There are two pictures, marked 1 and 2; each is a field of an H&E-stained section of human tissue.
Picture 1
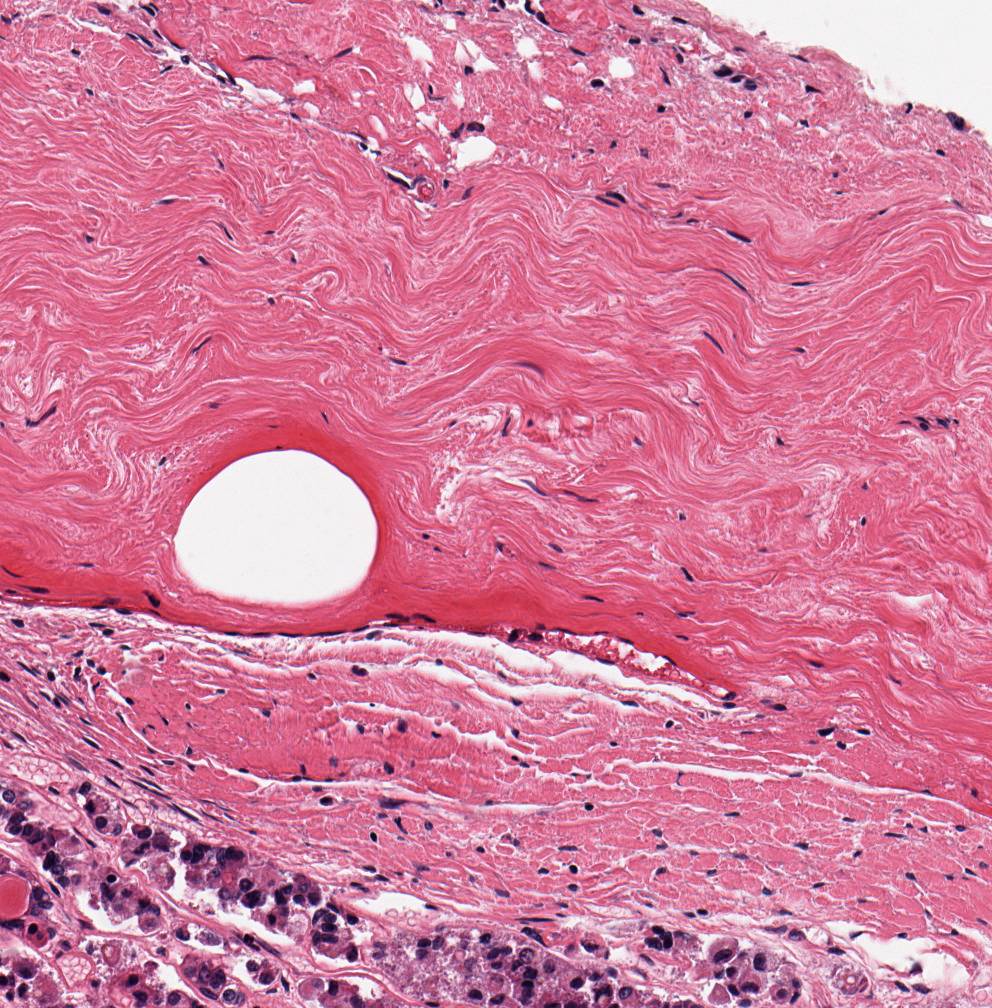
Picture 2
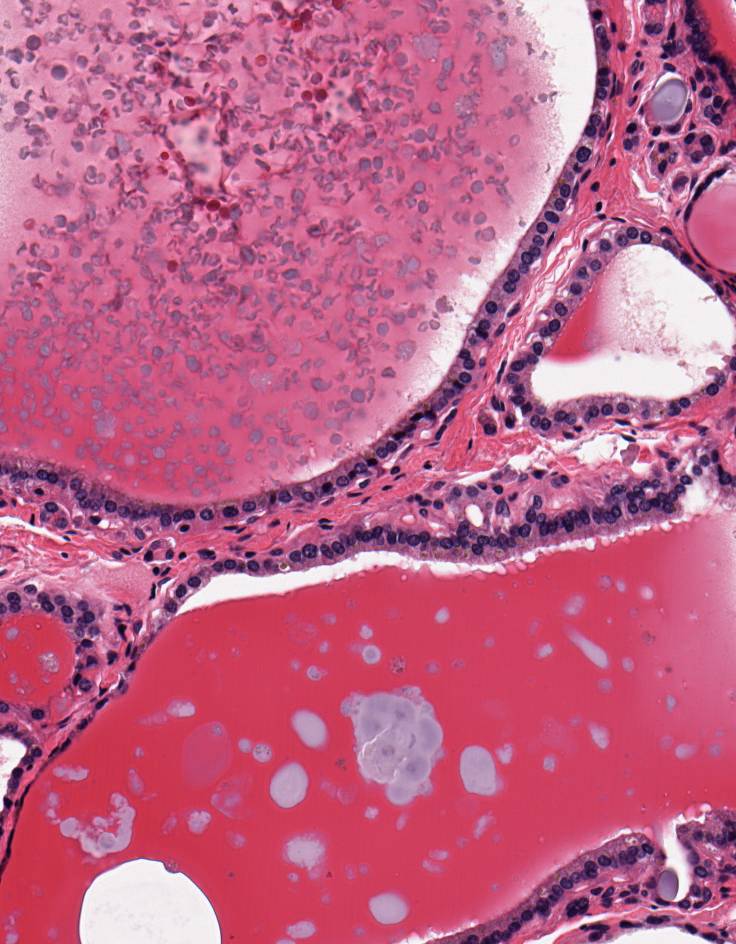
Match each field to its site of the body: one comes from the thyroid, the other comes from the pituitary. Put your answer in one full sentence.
It is picture 1 that comes from the pituitary, and picture 2 that comes from the thyroid.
